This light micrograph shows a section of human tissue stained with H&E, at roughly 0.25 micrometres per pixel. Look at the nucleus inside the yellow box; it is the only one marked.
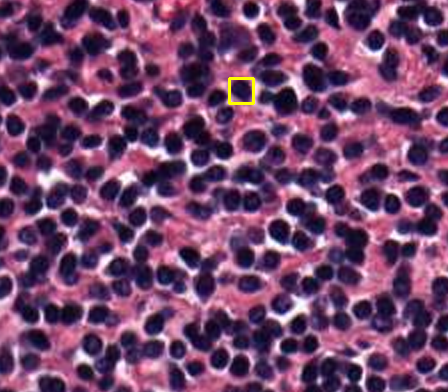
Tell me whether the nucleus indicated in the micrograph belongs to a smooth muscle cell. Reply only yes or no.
no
